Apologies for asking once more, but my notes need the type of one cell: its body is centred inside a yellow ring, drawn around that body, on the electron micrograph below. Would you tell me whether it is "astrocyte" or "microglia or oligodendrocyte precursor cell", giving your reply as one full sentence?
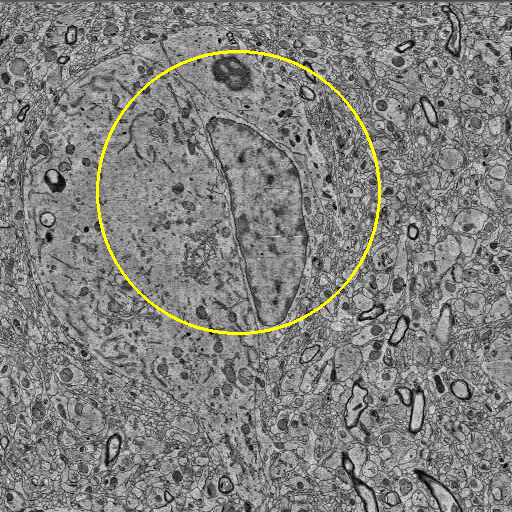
The cell that the yellow ring is centred on is a microglial cell or oligodendrocyte precursor cell in this micrograph.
